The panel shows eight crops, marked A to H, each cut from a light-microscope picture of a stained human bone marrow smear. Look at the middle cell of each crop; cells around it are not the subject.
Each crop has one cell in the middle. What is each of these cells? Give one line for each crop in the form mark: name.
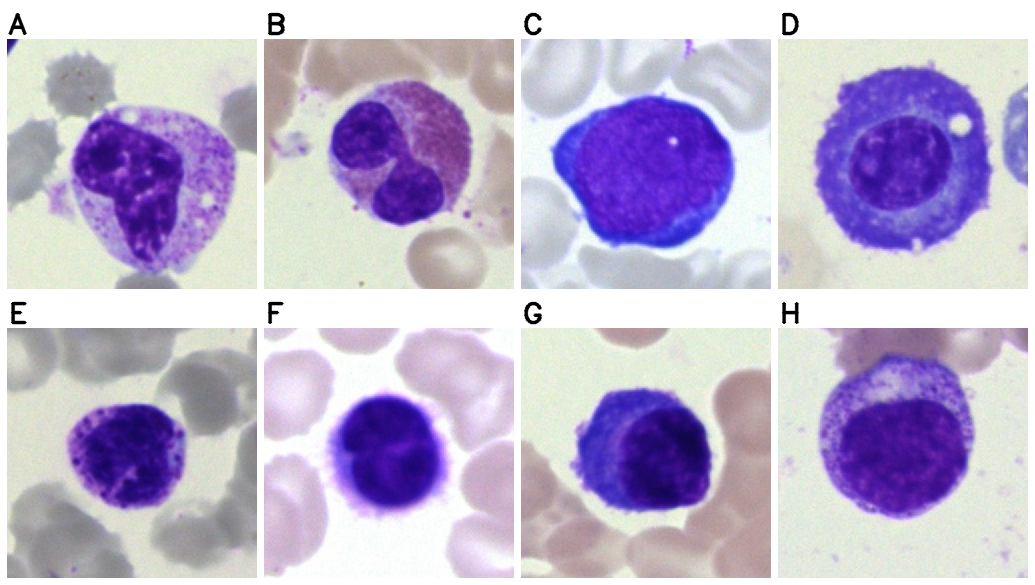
A: band neutrophil
B: eosinophil
C: proerythroblast
D: plasma cell
E: basophil
F: hairy cell
G: plasma cell
H: myelocyte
